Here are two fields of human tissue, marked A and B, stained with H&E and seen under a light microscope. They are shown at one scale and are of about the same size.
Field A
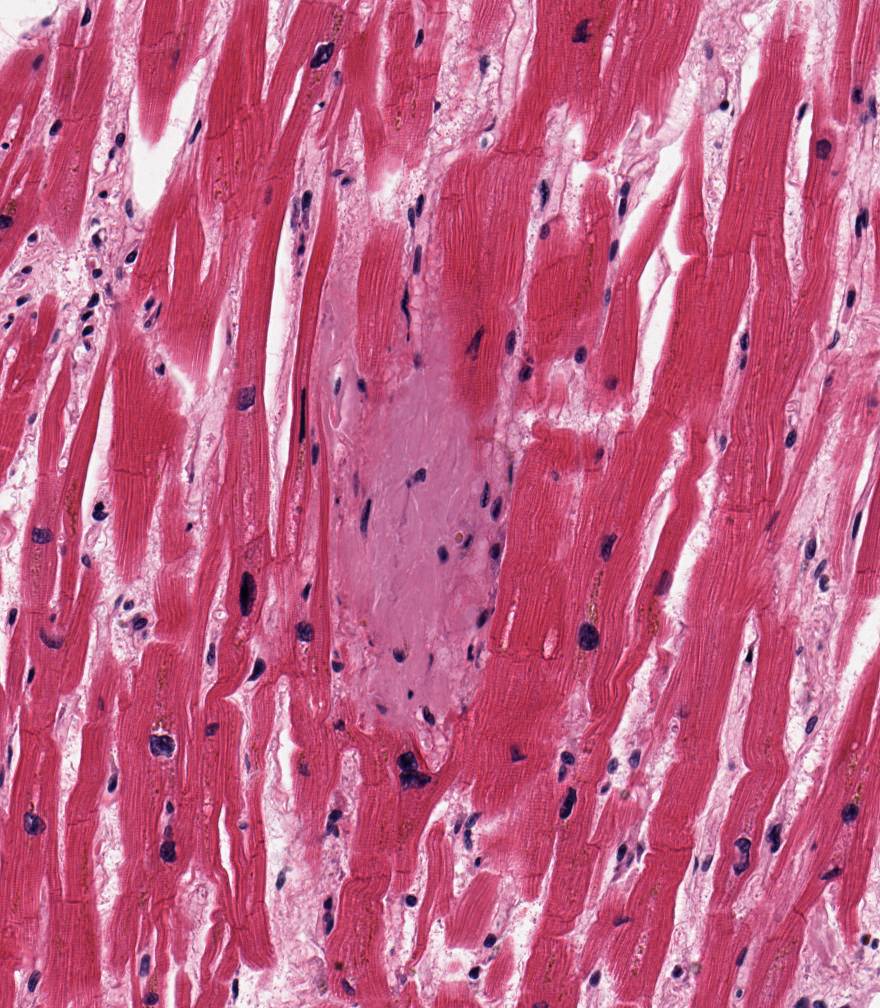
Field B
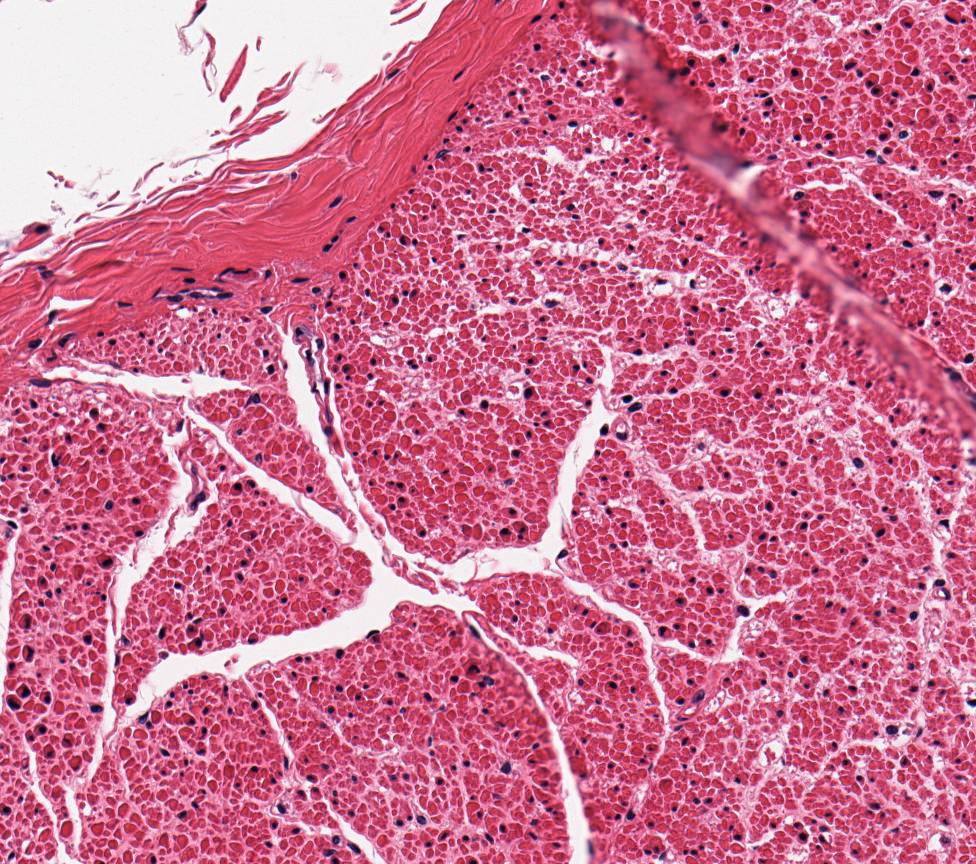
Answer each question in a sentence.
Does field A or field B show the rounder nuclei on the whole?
The nuclei are rounder in field B.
